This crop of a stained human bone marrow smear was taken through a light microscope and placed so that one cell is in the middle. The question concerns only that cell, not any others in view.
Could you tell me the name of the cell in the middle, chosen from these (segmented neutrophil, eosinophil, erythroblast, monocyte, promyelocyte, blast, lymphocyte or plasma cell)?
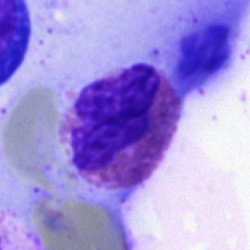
eosinophil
